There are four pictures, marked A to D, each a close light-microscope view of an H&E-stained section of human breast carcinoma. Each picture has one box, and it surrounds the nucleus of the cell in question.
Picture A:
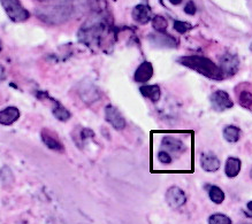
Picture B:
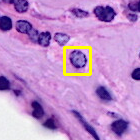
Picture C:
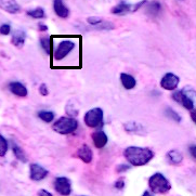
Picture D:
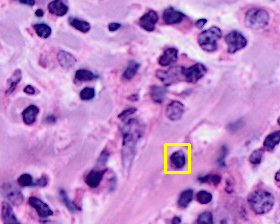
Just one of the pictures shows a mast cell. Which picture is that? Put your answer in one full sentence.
The mast cell is the one in picture B.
